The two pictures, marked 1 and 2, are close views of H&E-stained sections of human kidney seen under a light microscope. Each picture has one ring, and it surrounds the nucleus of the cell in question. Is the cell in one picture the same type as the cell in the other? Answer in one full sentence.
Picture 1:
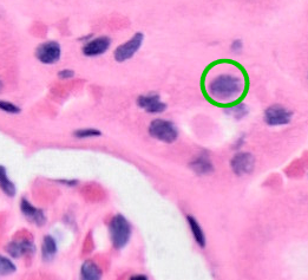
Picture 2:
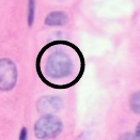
No, the types are not the same, since picture 1 shows a “loop of Henle or distal tubule cell” and picture 2 a collecting duct cell.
